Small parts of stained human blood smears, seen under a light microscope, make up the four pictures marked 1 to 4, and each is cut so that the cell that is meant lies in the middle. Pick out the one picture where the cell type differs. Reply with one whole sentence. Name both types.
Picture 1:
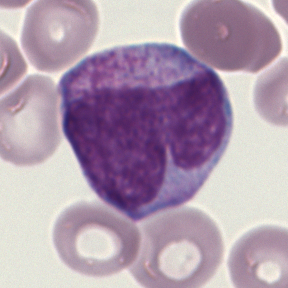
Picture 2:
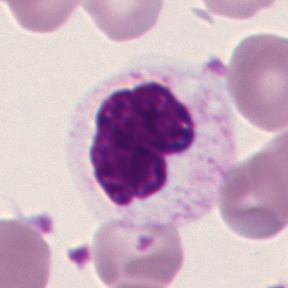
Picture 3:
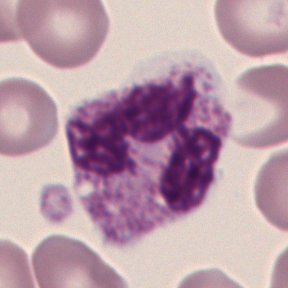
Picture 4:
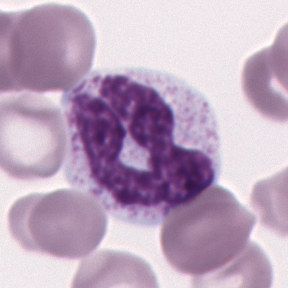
The others show segmented neutrophils, but picture 1 shows an atypical promyelocyte.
